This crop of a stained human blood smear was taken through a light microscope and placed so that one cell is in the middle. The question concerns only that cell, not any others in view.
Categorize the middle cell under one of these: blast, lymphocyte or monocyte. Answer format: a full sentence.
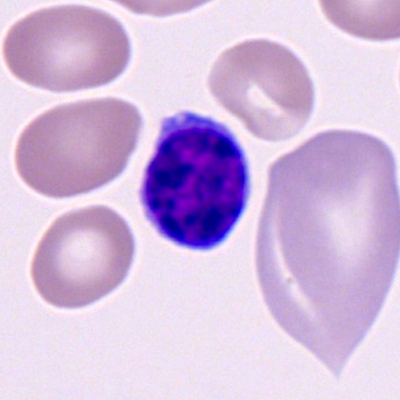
The centrally located cell in the crop is a lymphocyte.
